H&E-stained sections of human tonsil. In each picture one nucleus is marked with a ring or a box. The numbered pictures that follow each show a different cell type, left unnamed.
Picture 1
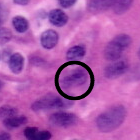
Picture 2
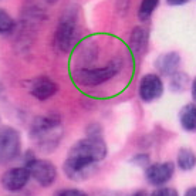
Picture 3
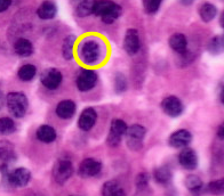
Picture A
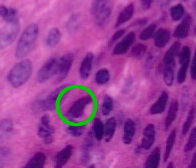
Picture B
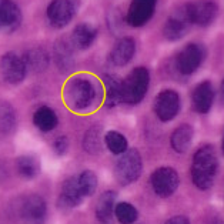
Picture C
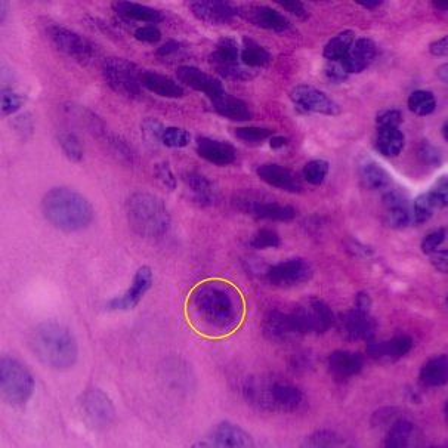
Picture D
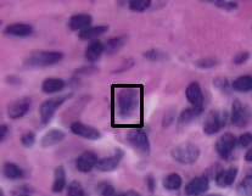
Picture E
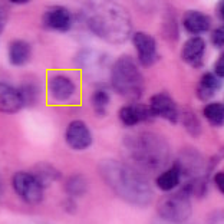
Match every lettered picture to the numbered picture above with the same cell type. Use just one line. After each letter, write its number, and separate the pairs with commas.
A 1, B 1, C 1, D 2, E 2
